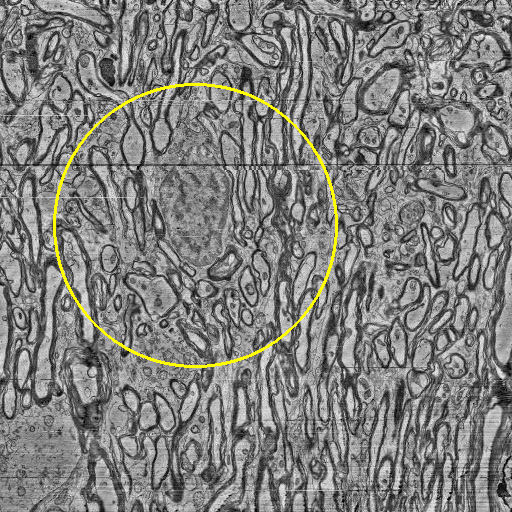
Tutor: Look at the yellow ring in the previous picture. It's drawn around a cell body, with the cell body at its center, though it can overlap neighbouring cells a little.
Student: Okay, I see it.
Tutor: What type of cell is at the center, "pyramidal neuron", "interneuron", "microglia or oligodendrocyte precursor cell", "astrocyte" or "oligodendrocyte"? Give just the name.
oligodendrocyte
